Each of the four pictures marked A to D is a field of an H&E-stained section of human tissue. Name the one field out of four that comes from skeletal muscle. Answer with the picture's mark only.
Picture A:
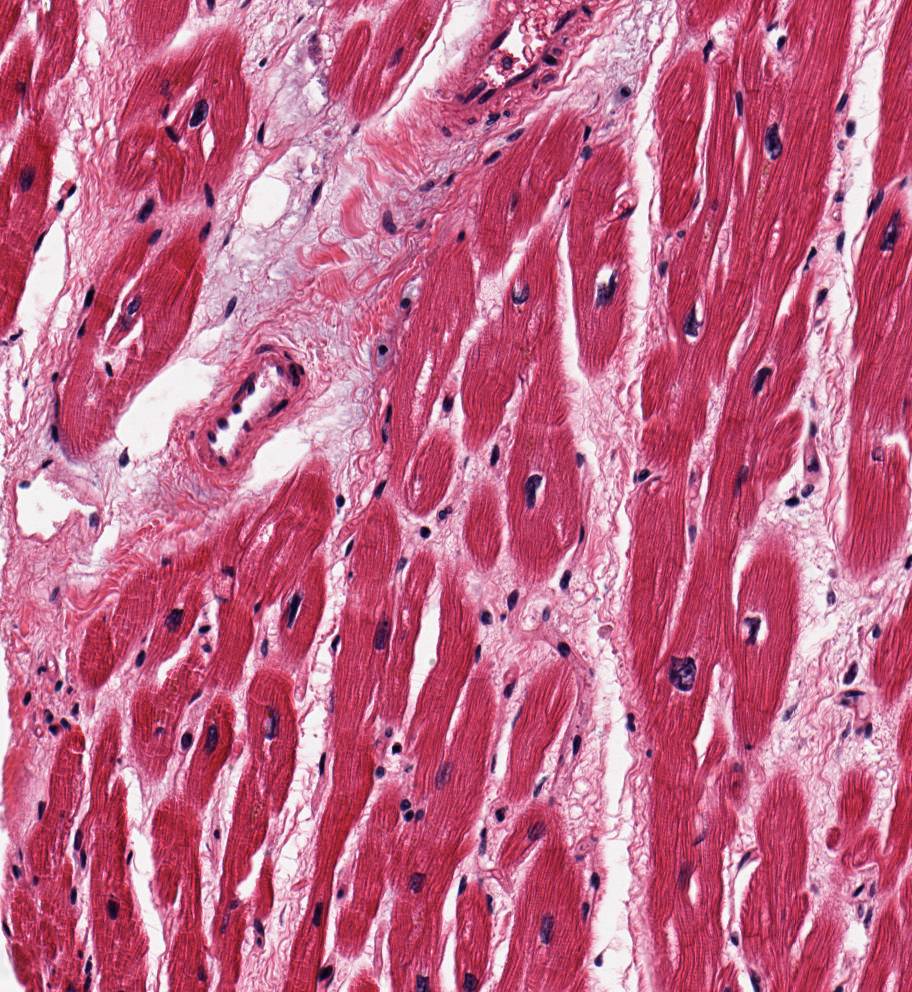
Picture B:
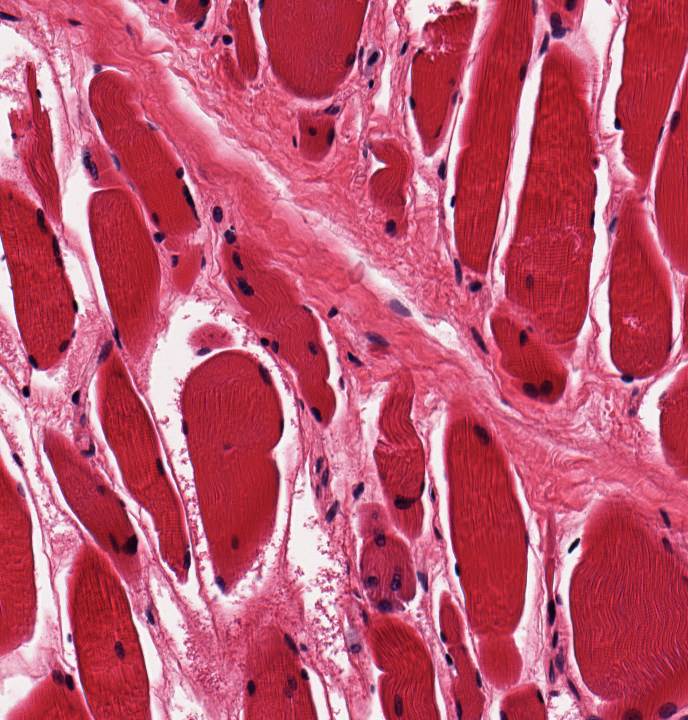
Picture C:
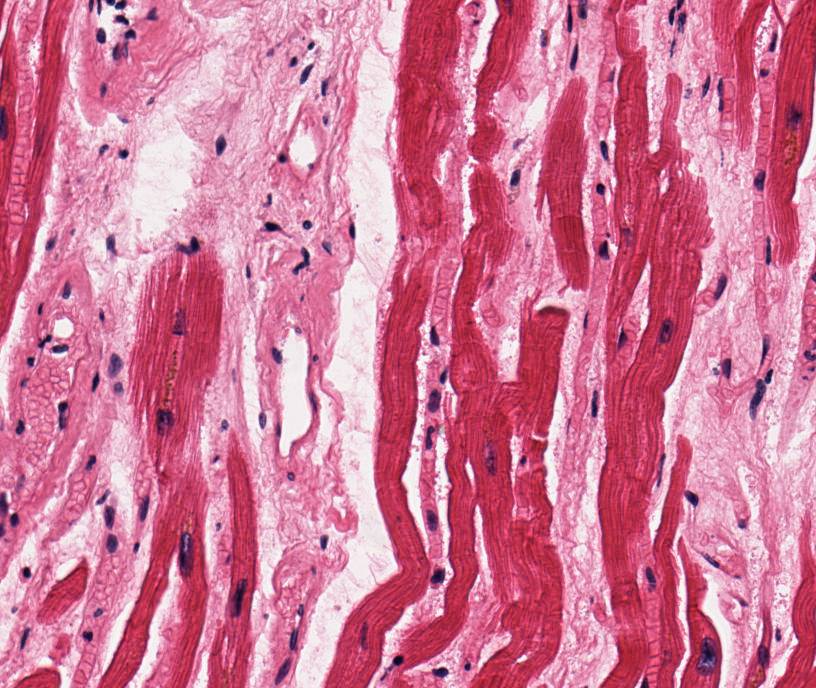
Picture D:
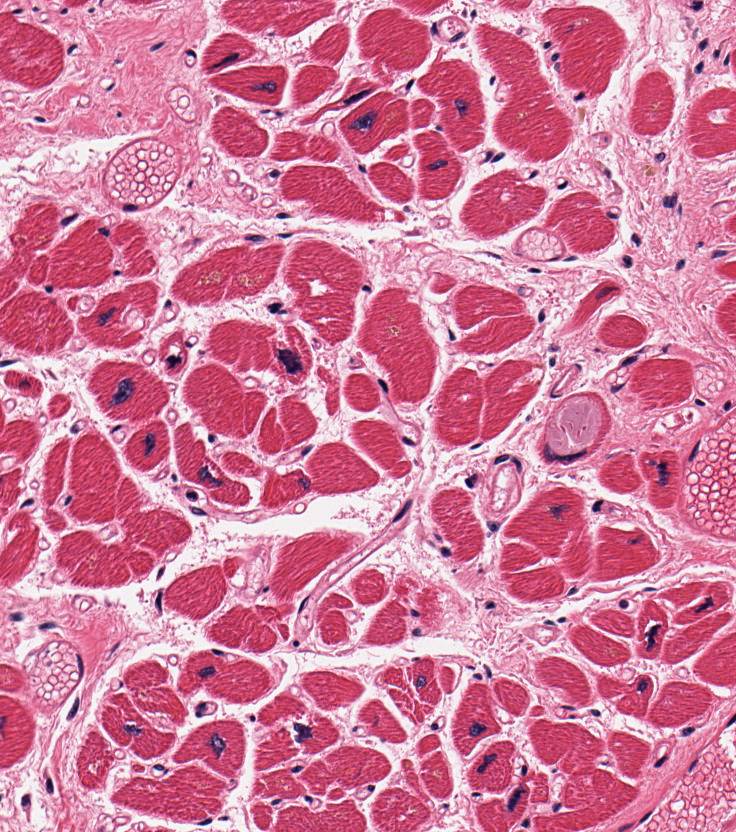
B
